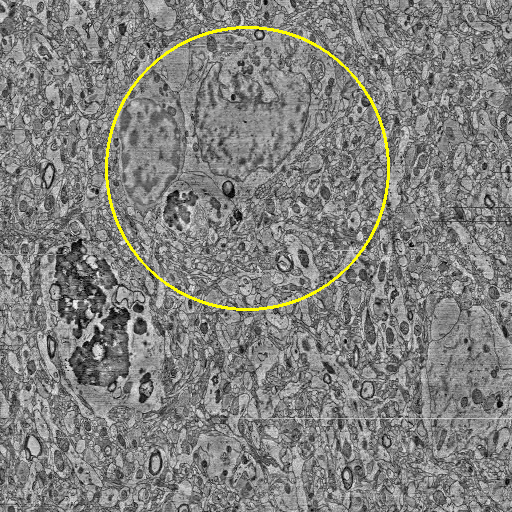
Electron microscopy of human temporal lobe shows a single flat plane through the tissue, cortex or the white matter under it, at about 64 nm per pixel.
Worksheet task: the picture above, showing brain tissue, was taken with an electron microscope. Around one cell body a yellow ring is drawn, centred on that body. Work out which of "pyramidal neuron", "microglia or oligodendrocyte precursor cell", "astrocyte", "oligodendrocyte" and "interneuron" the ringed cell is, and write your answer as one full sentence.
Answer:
It is an interneuron whose cell body lies at the centre of the yellow ring.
